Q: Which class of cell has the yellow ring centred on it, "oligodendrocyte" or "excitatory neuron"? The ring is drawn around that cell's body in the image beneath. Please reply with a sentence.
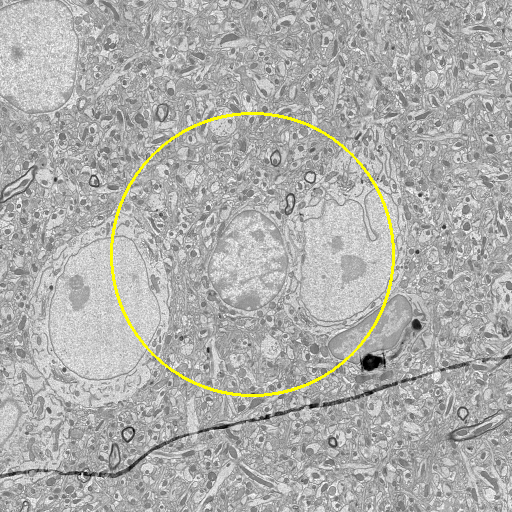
It is centred on an oligodendrocyte.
